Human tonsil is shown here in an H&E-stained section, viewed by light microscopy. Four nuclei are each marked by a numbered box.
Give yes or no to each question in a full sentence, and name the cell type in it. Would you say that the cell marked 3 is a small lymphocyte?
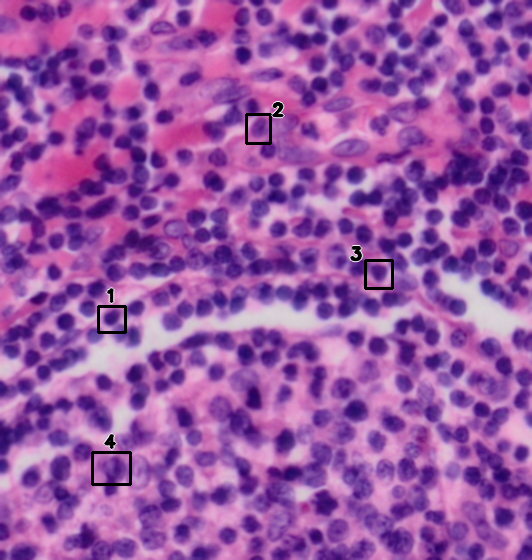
Yes, as for number 3, the cell is a small lymphocyte.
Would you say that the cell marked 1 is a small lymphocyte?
Yes, the cell with its nucleus marked 1 is a small lymphocyte.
